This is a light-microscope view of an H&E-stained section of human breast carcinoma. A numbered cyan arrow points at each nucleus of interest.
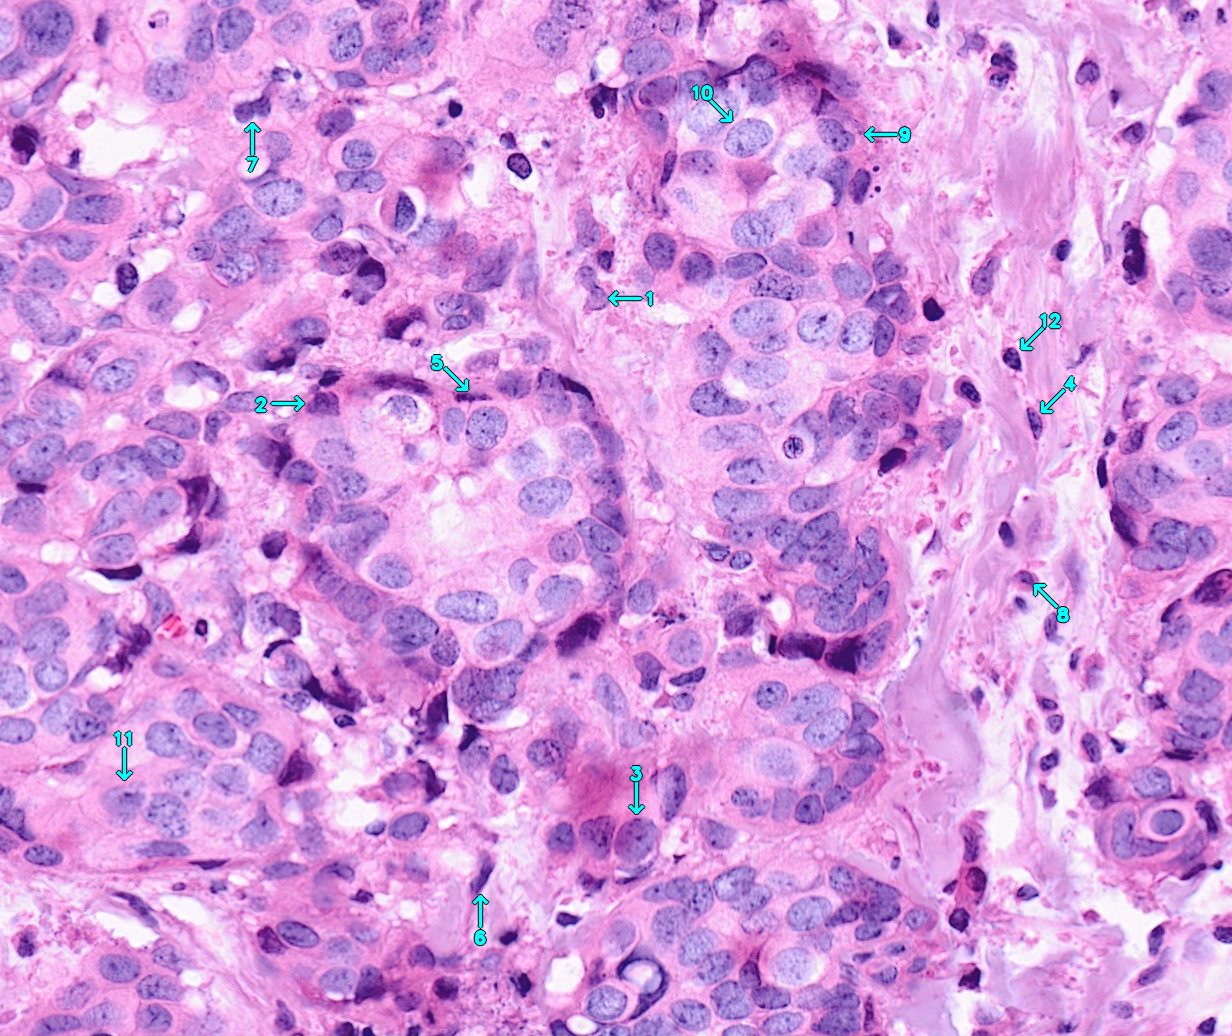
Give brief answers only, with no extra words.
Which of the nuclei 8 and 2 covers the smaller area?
8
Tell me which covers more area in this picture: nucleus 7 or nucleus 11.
11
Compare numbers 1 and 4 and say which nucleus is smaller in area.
4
